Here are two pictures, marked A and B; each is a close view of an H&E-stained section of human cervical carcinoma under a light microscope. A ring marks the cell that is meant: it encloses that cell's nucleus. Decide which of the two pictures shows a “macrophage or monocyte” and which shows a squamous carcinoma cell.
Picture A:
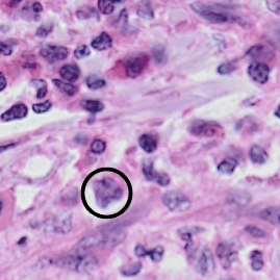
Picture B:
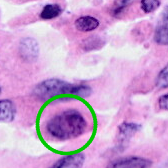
A: macrophage or monocyte
B: squamous carcinoma cell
